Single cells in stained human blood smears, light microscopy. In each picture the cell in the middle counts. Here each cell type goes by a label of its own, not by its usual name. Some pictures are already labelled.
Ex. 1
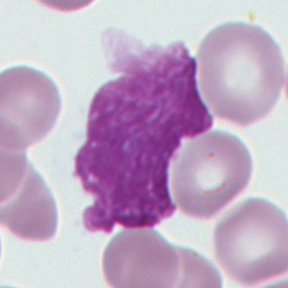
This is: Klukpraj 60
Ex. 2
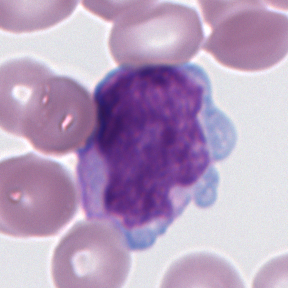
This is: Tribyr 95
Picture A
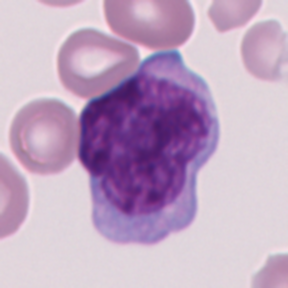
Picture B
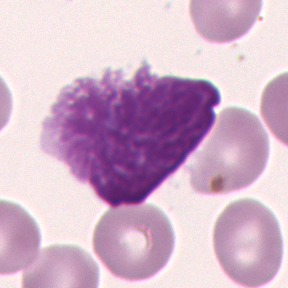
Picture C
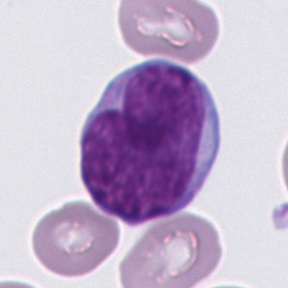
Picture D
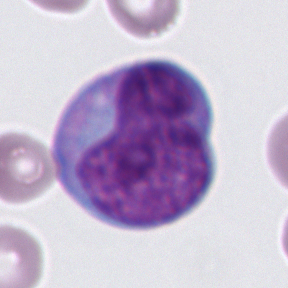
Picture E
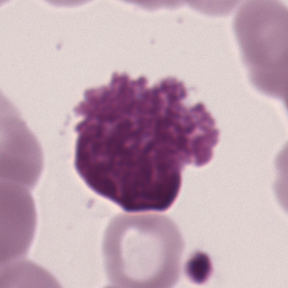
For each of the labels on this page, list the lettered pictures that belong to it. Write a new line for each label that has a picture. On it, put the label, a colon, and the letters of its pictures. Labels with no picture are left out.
Klukpraj 60: B, E
Tribyr 95: A, C, D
